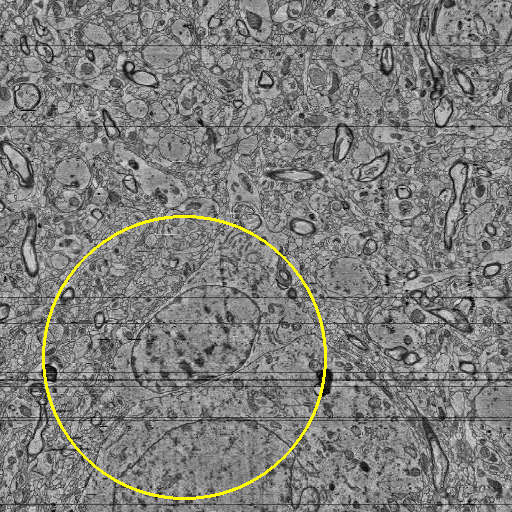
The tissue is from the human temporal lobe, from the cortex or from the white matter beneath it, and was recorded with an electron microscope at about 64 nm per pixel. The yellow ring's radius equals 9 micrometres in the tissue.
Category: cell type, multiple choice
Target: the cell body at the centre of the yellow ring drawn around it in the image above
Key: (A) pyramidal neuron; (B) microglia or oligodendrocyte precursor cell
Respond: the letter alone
B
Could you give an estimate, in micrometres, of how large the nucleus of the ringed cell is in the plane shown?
The nucleus comes to roughly 9 by 6 micrometres in this plane.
